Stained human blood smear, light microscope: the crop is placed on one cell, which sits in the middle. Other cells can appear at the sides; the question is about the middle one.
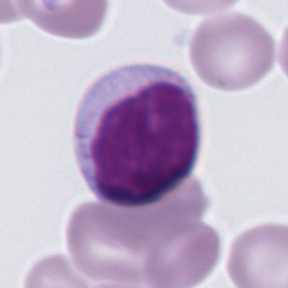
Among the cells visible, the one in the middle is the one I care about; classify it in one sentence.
The cell in the middle of this crop is a large granular lymphocyte.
